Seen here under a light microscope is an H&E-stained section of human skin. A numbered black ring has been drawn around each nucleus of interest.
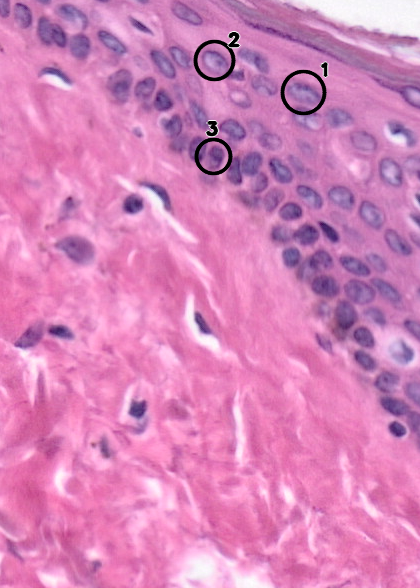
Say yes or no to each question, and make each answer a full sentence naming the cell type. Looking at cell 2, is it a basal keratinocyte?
No, cell 2 does not count as a basal keratinocyte; it is a suprabasal keratinocyte.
